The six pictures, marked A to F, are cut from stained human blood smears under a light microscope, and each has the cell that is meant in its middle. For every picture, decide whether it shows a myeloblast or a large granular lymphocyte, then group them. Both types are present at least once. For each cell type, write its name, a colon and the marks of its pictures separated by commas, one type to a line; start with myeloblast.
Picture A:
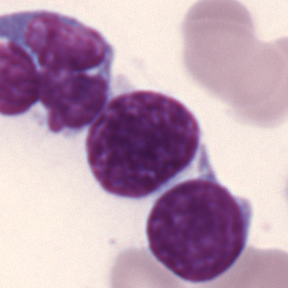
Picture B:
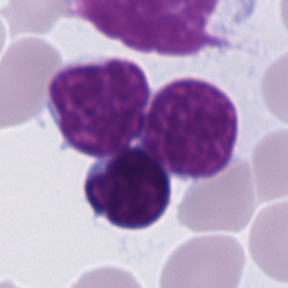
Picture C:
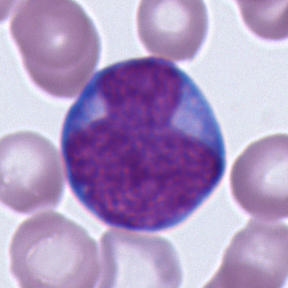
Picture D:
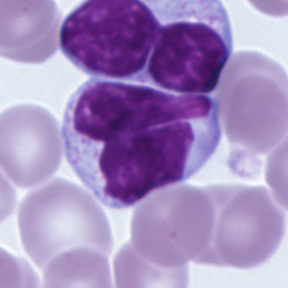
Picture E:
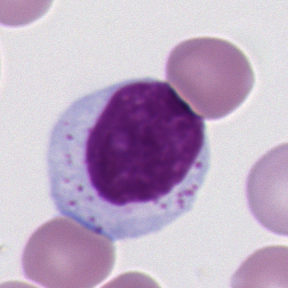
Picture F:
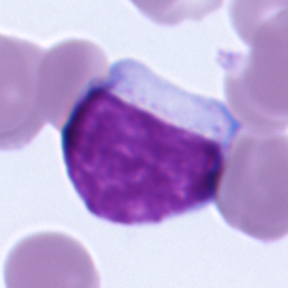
myeloblast: A, B, C
large granular lymphocyte: D, E, F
